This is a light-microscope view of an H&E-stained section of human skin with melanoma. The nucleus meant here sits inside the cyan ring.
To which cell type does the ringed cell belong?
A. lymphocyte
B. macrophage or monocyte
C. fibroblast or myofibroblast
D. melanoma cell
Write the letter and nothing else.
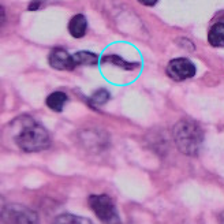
C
